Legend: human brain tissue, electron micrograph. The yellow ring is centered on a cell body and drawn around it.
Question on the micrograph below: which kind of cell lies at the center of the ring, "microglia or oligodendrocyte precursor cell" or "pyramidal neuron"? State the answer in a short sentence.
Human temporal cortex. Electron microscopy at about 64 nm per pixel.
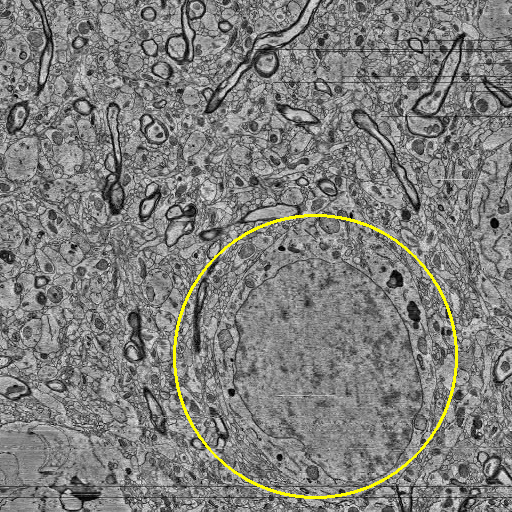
At the center of the ring lies a pyramidal neuron.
